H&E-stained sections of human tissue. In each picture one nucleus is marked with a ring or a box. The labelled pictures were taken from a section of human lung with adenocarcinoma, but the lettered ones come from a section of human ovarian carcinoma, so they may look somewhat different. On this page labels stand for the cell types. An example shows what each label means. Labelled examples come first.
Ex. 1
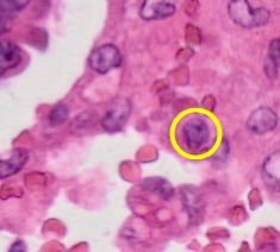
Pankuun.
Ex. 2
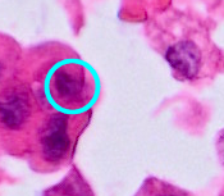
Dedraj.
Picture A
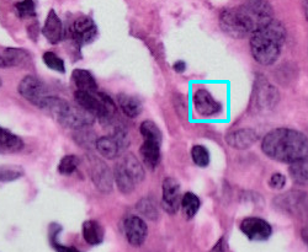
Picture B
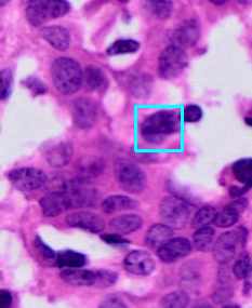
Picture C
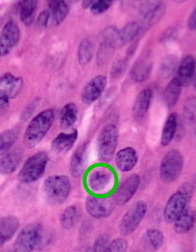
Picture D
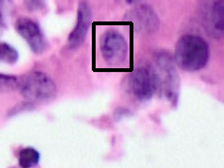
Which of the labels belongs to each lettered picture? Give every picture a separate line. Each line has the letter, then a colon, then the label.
A: Pankuun.
B: Dedraj.
C: Pankuun.
D: Pankuun.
